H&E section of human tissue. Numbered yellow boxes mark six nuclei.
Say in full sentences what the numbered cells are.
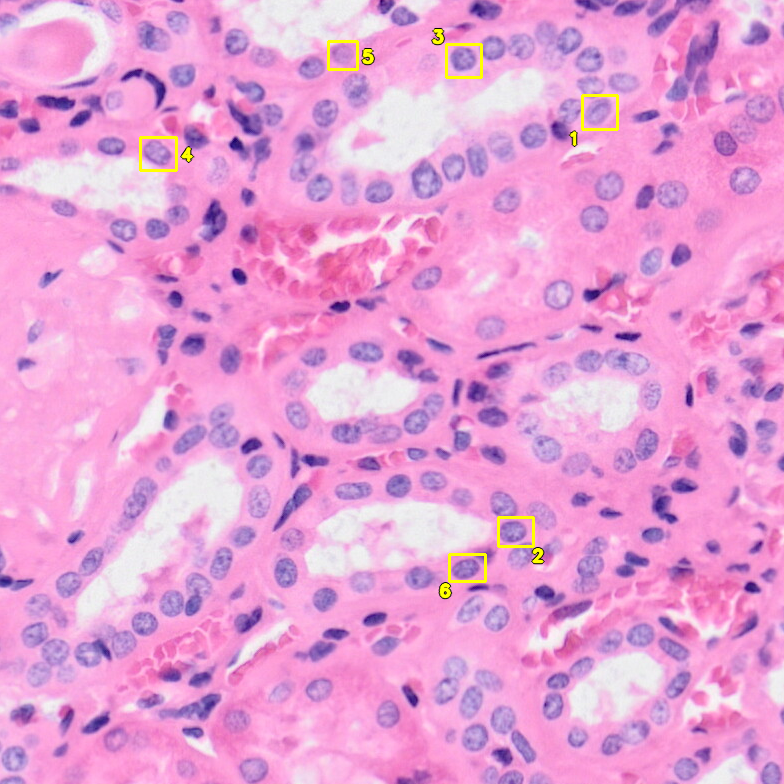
Cell 1 is a collecting duct cell, cell 2 is a collecting duct cell, cell 3 is a collecting duct cell, cell 4 is a loop of Henle or distal tubule cell, cell 5 is a loop of Henle or distal tubule cell and cell 6 is a collecting duct cell.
